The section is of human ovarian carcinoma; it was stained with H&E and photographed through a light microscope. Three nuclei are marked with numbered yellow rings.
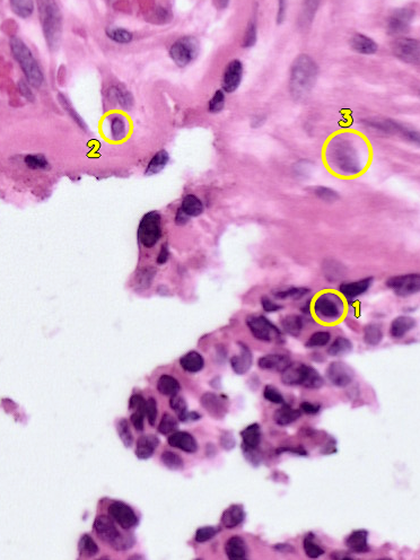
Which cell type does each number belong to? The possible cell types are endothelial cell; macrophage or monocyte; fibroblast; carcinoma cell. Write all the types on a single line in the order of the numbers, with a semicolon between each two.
carcinoma cell; fibroblast; fibroblast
